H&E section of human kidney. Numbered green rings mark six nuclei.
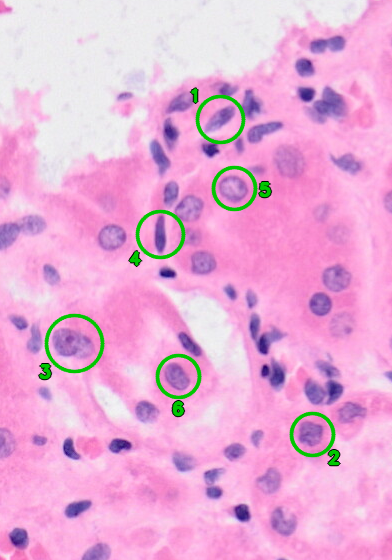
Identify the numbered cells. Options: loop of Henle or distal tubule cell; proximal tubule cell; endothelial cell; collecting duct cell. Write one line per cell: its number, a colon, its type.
1: endothelial cell
2: proximal tubule cell
3: proximal tubule cell
4: endothelial cell
5: proximal tubule cell
6: proximal tubule cell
